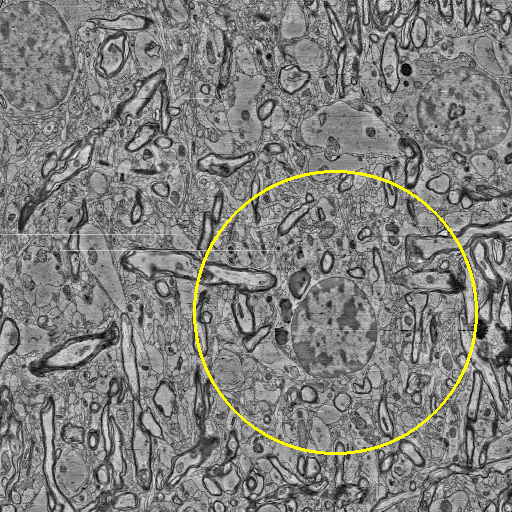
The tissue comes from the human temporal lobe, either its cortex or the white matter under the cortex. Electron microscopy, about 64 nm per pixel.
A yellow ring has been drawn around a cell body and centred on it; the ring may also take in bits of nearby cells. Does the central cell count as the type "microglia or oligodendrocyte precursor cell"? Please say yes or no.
yes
